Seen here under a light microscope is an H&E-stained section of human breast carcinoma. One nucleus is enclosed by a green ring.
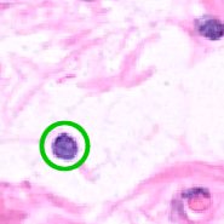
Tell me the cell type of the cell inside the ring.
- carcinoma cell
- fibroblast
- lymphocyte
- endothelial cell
lymphocyte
